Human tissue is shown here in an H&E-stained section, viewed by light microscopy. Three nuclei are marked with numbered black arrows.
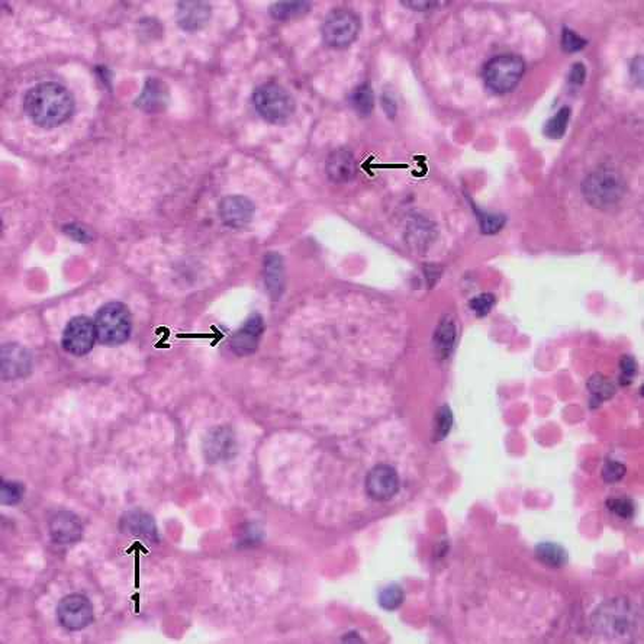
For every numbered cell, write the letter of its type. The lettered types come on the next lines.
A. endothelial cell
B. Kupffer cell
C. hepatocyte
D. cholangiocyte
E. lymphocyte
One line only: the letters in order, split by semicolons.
A; B; C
